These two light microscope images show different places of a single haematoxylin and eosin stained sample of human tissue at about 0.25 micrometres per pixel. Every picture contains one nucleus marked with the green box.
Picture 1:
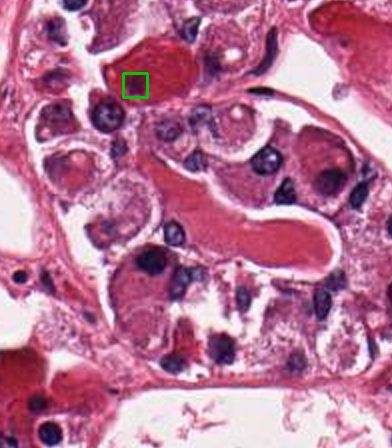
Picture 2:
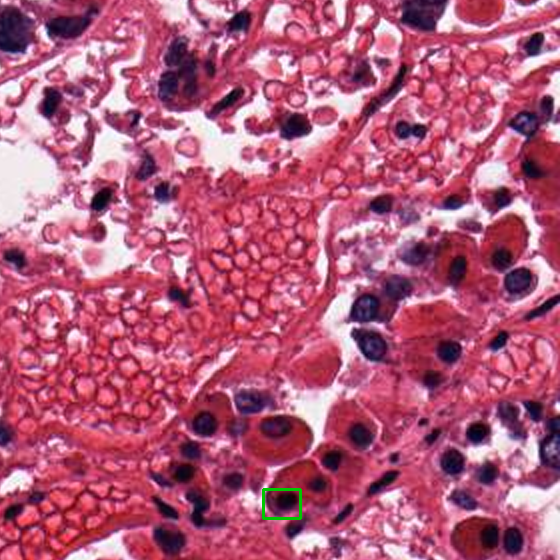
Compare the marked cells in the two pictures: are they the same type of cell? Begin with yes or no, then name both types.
Yes, both are anterior pituitary cells.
